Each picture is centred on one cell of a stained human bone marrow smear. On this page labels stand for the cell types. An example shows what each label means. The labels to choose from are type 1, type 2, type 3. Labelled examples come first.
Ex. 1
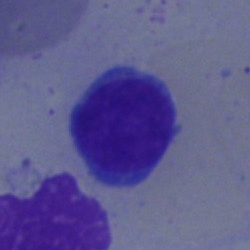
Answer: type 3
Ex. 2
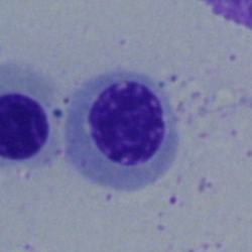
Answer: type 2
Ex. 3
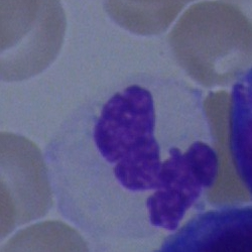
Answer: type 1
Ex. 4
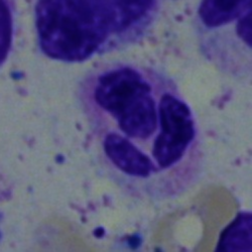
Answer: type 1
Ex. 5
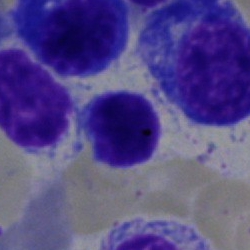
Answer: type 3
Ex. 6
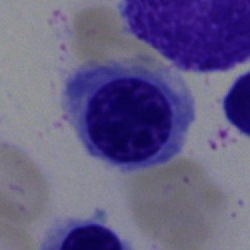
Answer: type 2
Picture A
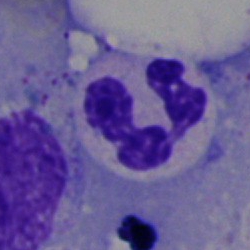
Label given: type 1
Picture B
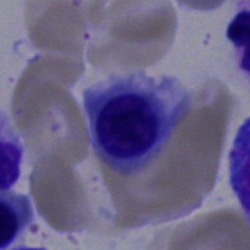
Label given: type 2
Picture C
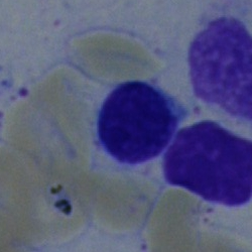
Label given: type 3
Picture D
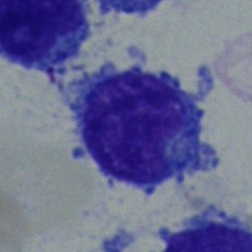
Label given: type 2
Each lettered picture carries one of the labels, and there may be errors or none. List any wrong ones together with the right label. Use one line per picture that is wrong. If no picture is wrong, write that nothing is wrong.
D: not type 2 but type 3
